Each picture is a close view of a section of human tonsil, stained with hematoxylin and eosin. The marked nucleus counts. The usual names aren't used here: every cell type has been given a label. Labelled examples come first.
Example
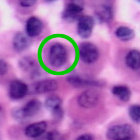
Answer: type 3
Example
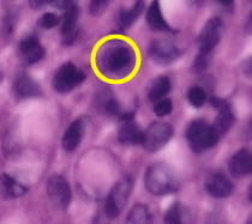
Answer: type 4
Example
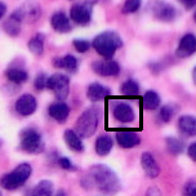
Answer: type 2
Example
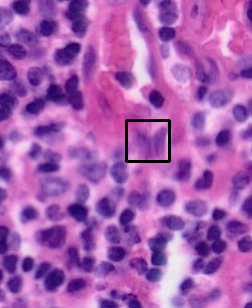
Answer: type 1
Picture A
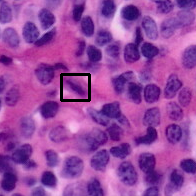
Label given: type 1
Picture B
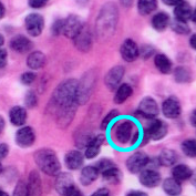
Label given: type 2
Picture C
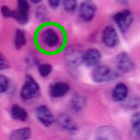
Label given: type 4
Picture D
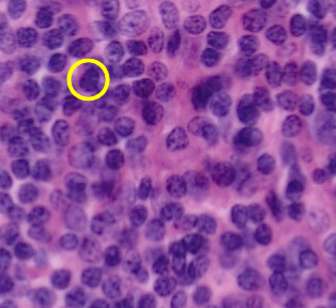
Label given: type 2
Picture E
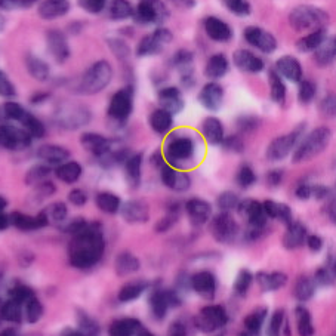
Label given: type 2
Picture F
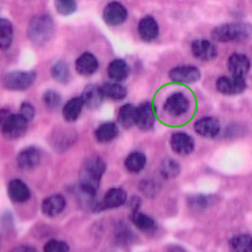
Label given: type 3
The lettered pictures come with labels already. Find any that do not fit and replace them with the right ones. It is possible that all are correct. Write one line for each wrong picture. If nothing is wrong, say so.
C: type 3, not type 4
